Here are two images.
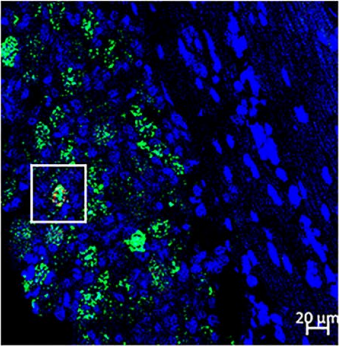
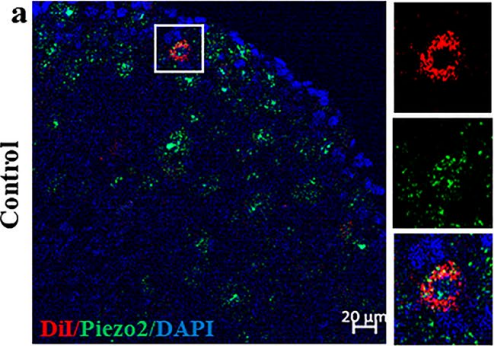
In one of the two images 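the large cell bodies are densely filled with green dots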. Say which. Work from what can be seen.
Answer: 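The first image. First image: many large cell bodies are packed with bright green puncta, some appearing almost solid green. Second image: green puncta in the cell bodies are sparse and faint.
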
